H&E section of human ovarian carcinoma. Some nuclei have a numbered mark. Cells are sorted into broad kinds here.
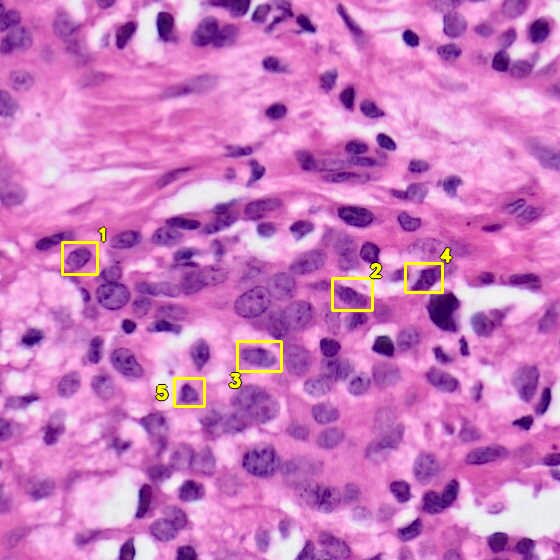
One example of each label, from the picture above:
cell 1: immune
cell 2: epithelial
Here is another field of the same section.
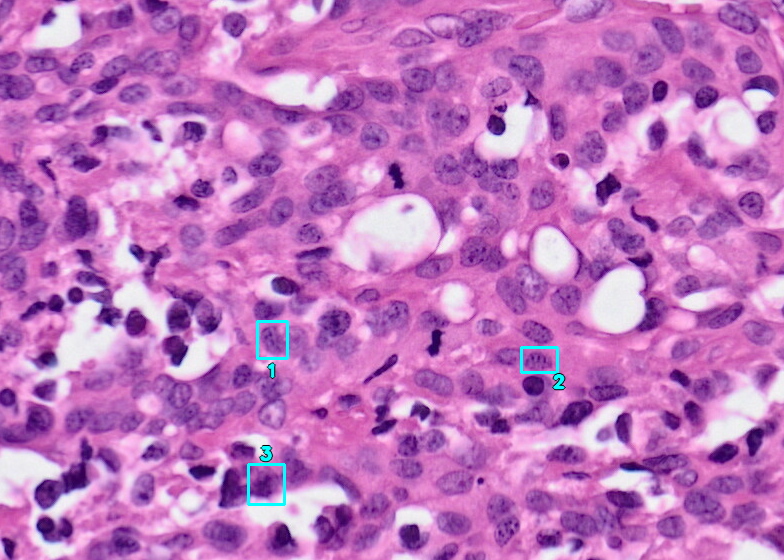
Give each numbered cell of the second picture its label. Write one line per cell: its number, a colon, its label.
1: immune
2: epithelial
3: epithelial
